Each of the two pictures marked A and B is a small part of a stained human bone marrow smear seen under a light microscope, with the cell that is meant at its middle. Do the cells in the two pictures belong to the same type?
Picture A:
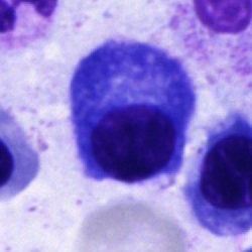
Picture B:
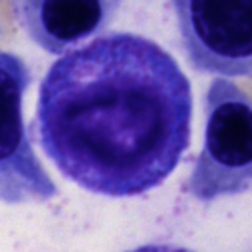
no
